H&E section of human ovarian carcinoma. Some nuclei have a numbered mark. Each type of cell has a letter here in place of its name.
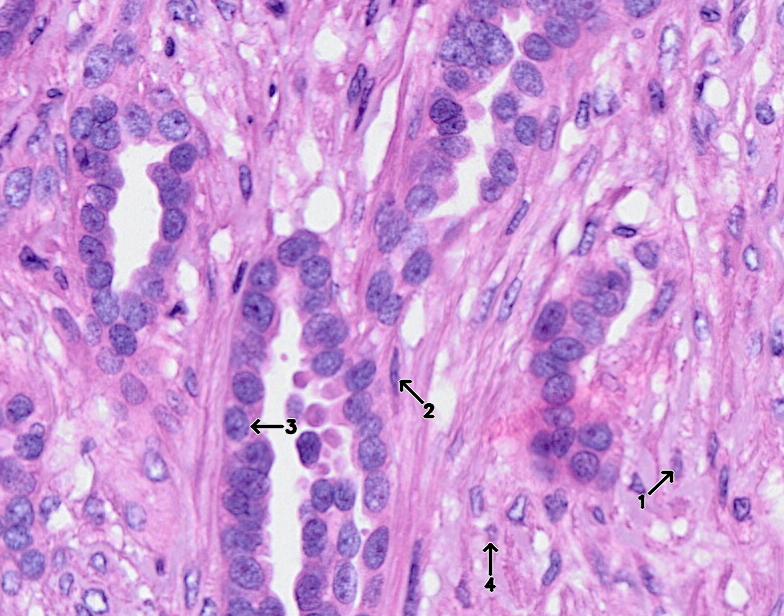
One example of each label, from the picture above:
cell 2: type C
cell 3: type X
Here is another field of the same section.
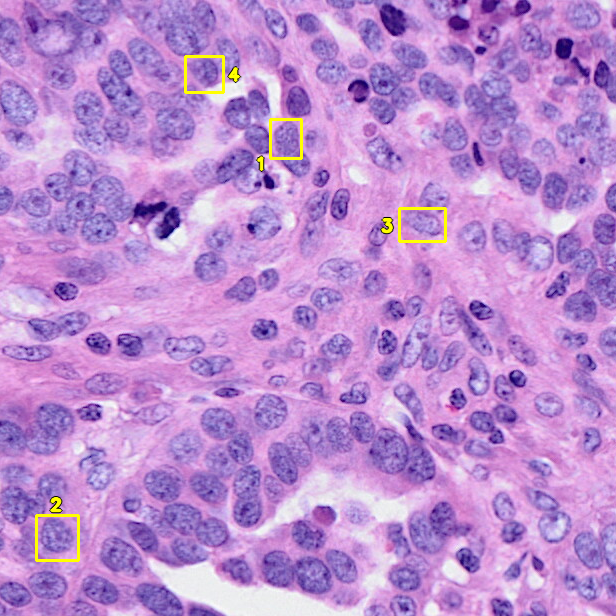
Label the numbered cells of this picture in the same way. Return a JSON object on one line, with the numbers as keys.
{"1": "type X", "2": "type X", "3": "type C", "4": "type X"}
